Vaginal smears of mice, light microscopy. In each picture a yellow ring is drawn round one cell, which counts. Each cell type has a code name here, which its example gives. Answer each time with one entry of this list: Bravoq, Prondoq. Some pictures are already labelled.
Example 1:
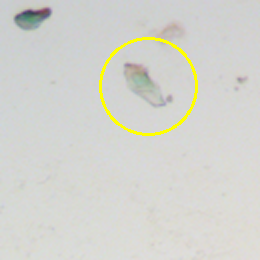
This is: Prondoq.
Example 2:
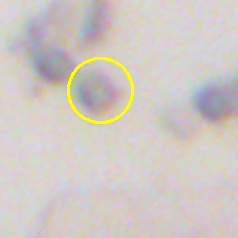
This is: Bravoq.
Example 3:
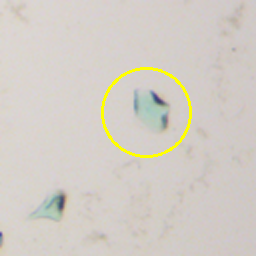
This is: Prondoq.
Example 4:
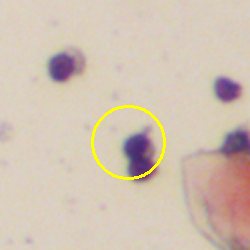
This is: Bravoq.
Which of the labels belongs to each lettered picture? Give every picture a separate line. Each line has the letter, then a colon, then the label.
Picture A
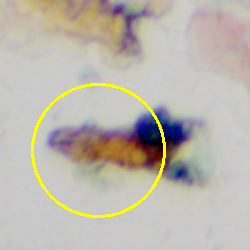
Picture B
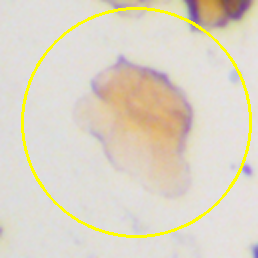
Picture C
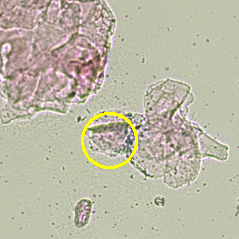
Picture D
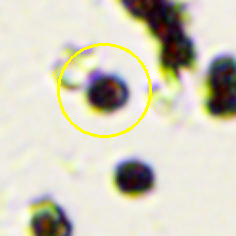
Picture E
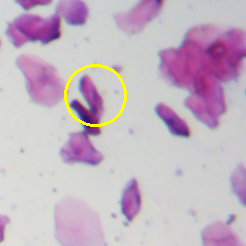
A: Prondoq.
B: Prondoq.
C: Prondoq.
D: Bravoq.
E: Prondoq.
